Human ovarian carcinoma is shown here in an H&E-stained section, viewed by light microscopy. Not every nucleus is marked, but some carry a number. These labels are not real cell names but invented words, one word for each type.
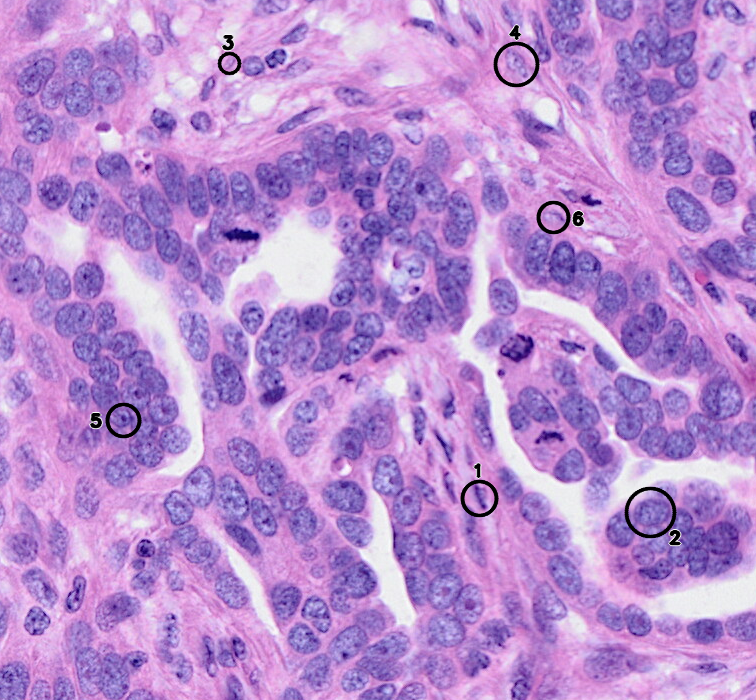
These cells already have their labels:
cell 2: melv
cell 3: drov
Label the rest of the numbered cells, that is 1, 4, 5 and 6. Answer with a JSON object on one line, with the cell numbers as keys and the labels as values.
{"1": "drov", "4": "drov", "5": "melv", "6": "drov"}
